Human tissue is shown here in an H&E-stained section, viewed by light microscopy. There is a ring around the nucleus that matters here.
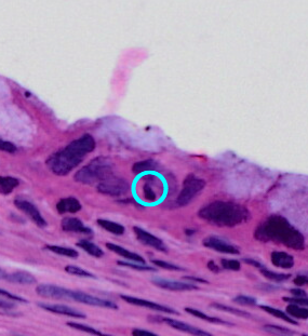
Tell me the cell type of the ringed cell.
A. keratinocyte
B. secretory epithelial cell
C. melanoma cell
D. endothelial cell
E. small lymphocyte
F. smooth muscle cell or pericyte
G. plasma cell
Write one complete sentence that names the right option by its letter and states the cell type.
Option B is the right one; the ringed cell is a secretory epithelial cell.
